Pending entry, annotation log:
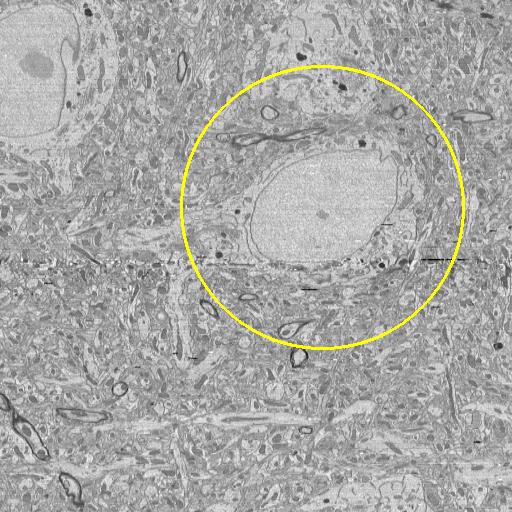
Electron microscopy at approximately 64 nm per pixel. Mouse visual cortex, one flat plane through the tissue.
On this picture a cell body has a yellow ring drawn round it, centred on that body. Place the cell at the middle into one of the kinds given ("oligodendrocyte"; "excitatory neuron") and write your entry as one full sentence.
The cell body at the middle of the yellow ring belongs to an excitatory neuron.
